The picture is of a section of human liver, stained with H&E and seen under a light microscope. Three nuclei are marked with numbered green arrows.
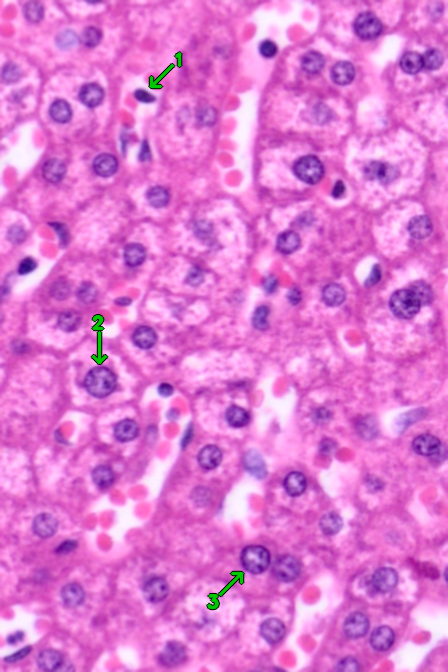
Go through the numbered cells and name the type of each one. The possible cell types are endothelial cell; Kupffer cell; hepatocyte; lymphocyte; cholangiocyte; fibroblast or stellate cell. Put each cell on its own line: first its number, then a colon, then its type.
1: lymphocyte
2: hepatocyte
3: hepatocyte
